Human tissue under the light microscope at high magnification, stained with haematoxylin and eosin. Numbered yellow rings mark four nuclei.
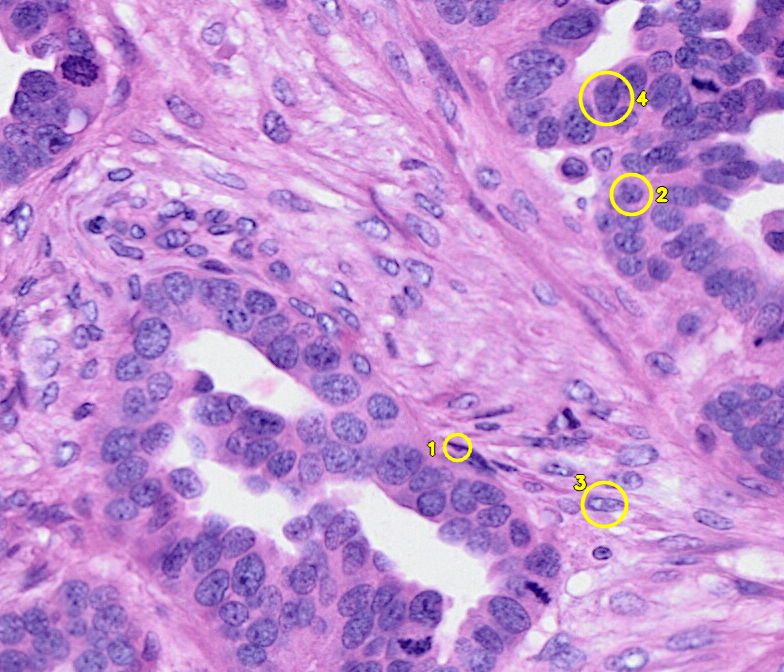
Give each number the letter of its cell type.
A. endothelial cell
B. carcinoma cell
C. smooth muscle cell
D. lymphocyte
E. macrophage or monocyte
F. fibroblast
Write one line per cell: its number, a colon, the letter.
1: F
2: B
3: F
4: B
